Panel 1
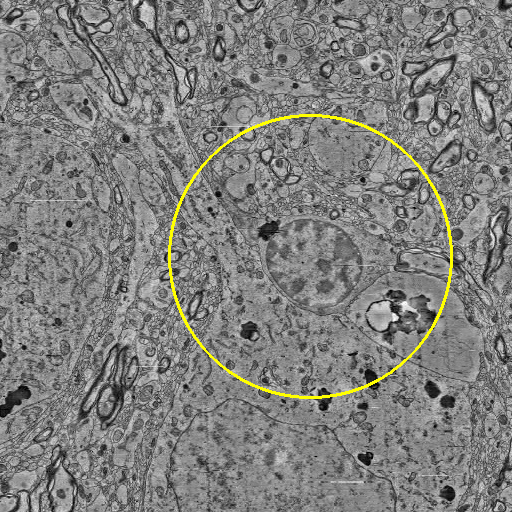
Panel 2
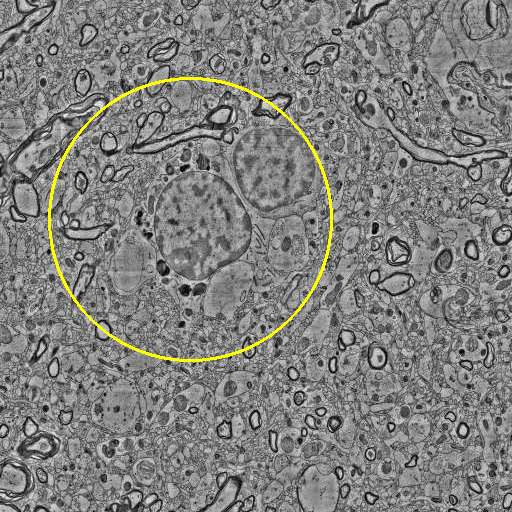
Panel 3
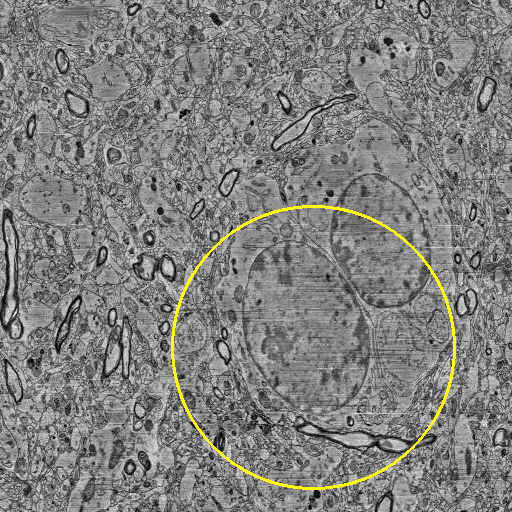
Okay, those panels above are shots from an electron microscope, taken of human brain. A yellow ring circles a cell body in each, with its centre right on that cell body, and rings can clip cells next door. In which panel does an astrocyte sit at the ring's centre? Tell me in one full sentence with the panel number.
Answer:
The cell you asked for sits at the ring's centre in panel 3.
